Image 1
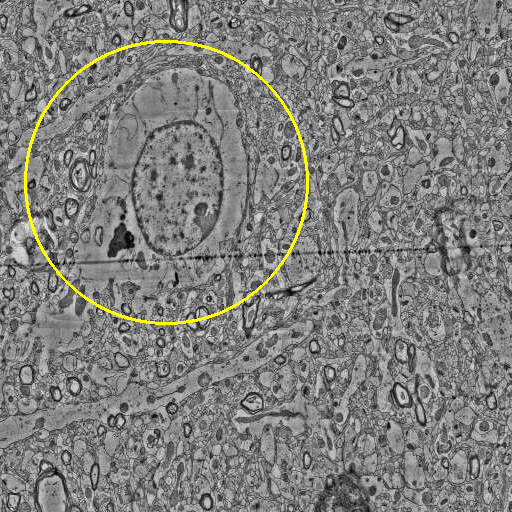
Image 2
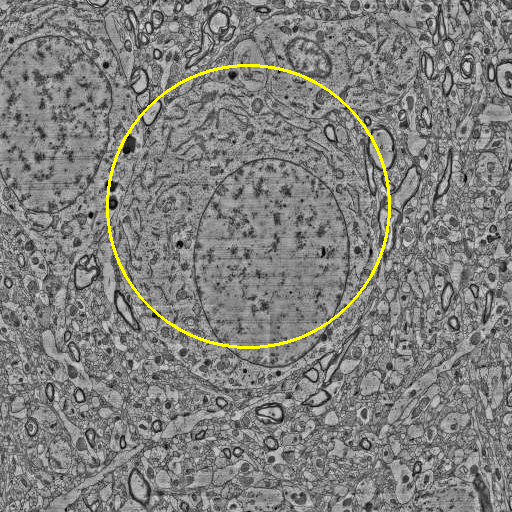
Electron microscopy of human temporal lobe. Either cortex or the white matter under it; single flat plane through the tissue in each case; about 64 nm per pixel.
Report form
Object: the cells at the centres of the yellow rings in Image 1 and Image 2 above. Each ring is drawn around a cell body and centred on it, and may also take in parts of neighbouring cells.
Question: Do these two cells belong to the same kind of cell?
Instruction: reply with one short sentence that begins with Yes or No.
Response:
No, they belong to two kinds of cell.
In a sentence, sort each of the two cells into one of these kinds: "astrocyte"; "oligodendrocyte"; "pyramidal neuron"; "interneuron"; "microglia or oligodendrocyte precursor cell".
The first of the two cells is an astrocyte, and the second is a pyramidal neuron.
